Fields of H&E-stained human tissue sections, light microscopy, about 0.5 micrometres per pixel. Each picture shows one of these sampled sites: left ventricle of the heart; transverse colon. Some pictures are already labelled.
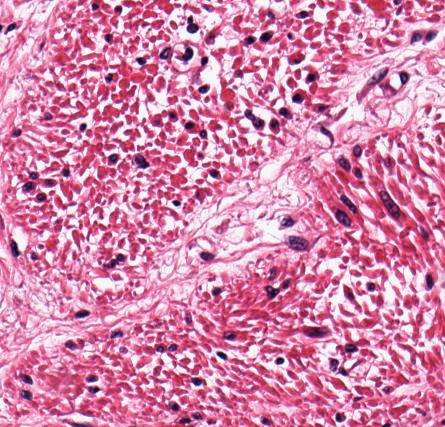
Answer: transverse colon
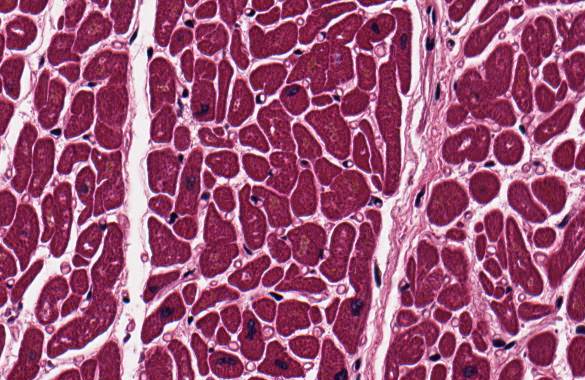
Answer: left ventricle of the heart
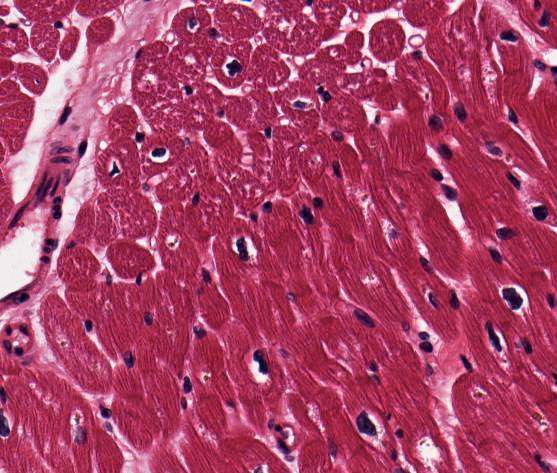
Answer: left ventricle of the heart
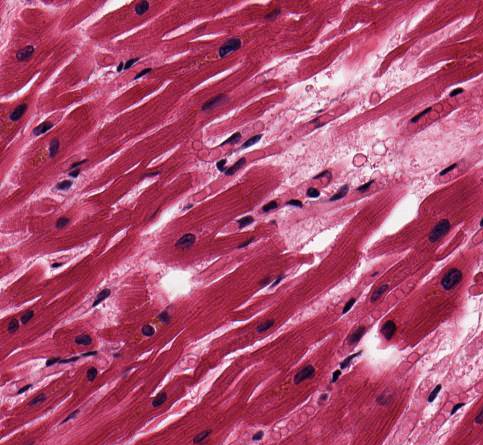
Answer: left ventricle of the heart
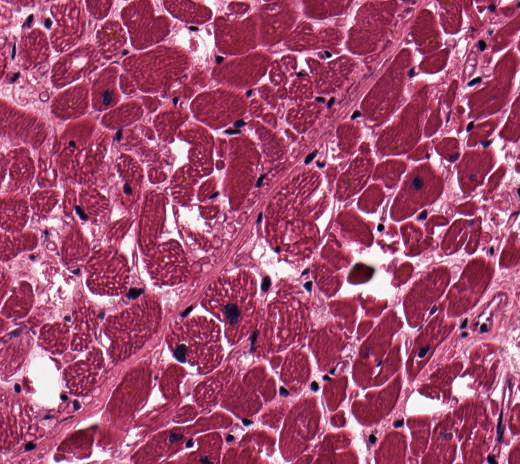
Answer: left ventricle of the heart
